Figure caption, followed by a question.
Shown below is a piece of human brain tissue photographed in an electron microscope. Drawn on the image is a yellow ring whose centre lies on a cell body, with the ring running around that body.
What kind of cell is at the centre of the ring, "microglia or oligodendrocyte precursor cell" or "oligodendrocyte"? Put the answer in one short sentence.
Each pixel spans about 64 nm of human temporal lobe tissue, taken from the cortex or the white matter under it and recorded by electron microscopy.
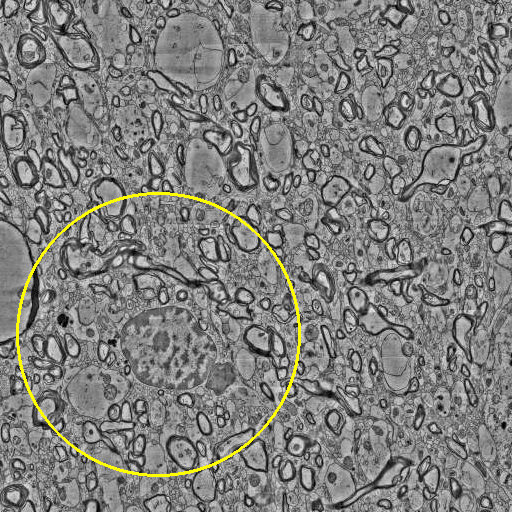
The ring marks the cell body of a microglial cell or oligodendrocyte precursor cell.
